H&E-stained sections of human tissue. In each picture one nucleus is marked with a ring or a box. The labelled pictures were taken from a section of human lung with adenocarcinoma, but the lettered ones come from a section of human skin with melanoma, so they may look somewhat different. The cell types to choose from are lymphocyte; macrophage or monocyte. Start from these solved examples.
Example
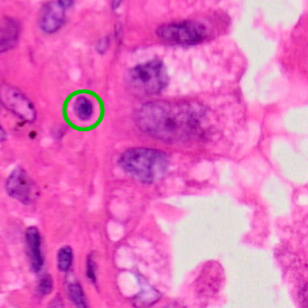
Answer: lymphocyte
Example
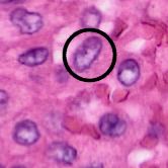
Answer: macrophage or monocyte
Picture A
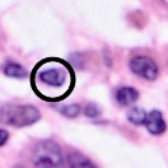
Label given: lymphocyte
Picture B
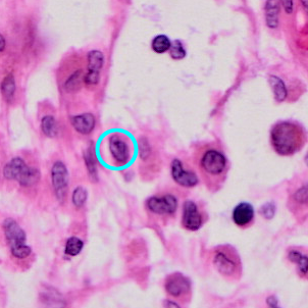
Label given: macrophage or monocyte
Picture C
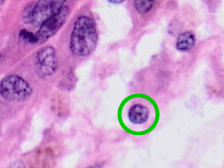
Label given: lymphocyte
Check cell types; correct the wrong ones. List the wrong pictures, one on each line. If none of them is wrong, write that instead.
All correct.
